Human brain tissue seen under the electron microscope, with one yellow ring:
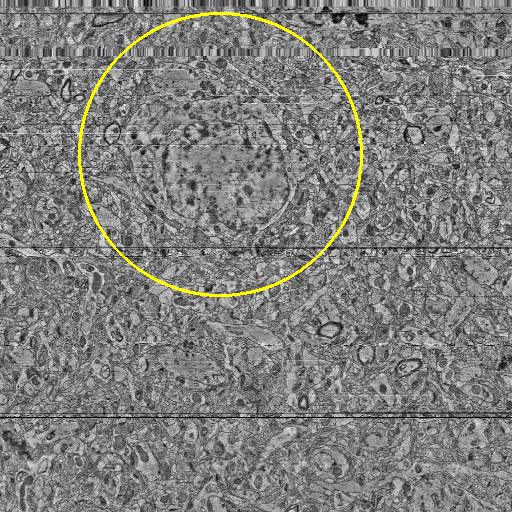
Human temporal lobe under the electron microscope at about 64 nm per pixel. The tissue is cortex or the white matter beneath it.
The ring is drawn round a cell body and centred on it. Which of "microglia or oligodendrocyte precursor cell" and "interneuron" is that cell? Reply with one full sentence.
The picture shows an interneuron at the very centre of the yellow ring.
